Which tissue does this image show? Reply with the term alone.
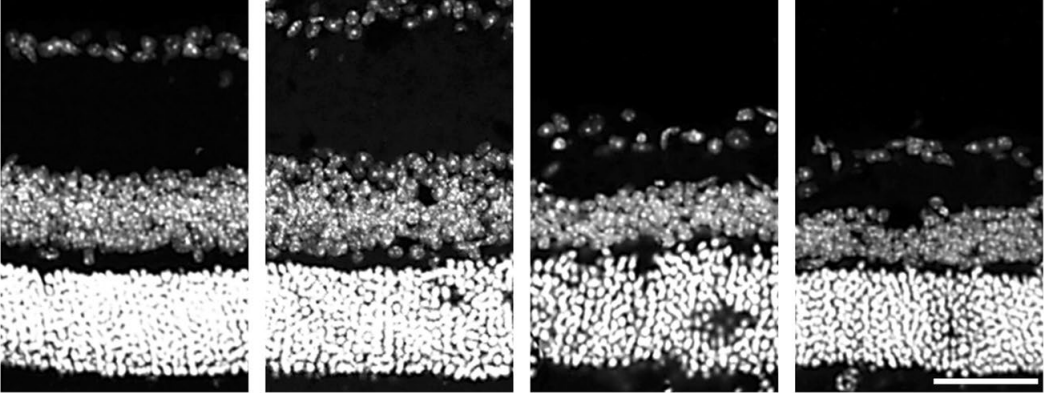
retinal sections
